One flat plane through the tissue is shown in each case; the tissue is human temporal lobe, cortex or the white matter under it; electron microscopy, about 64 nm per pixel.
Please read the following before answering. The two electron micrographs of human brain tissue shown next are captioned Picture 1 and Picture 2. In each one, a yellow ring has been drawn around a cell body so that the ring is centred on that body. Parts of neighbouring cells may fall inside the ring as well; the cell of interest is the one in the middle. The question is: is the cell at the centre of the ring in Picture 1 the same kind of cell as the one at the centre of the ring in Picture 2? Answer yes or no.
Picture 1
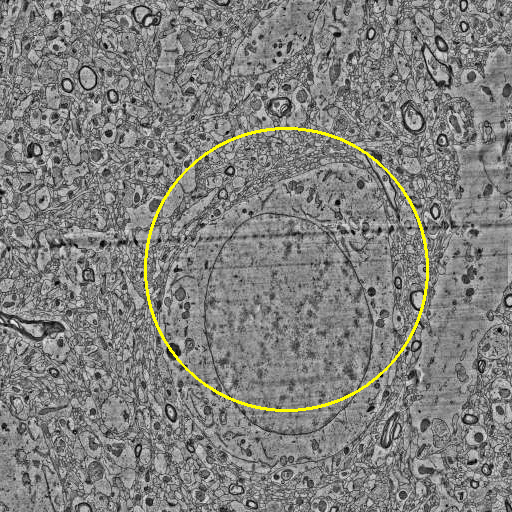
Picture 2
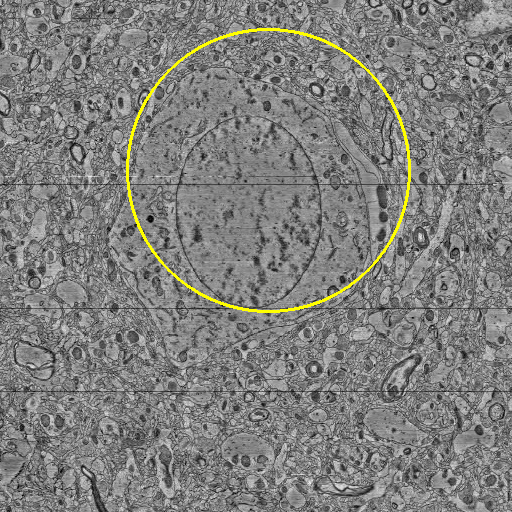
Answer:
yes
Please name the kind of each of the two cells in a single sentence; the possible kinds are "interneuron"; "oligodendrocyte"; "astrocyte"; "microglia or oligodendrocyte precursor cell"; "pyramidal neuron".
Each of the two rings is centred on a pyramidal neuron.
